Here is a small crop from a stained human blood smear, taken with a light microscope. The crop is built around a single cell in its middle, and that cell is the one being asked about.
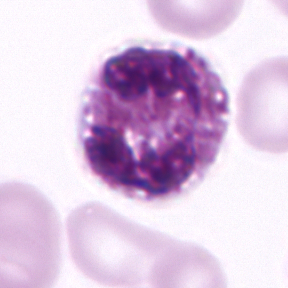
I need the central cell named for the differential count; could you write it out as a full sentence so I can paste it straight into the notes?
At the center of the crop sits an eosinophil.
